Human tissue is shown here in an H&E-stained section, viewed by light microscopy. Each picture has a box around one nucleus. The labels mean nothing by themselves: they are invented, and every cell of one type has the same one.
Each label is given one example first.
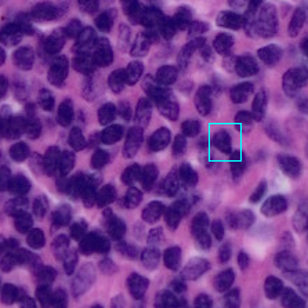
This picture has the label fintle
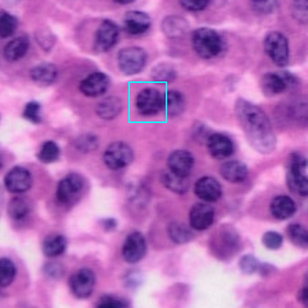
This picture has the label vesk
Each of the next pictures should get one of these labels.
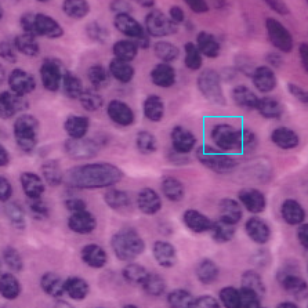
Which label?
vesk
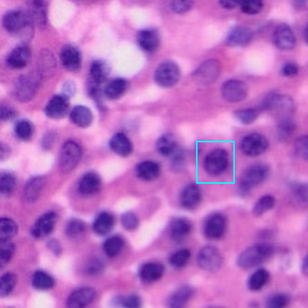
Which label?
vesk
